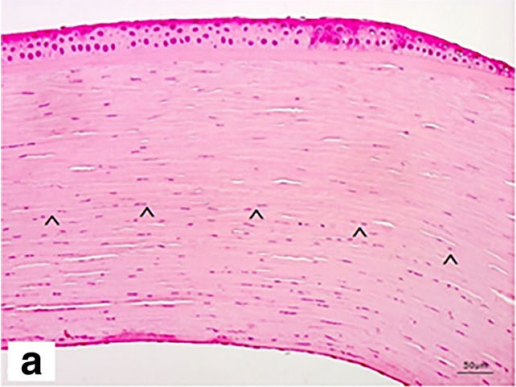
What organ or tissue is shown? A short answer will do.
Cornea.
